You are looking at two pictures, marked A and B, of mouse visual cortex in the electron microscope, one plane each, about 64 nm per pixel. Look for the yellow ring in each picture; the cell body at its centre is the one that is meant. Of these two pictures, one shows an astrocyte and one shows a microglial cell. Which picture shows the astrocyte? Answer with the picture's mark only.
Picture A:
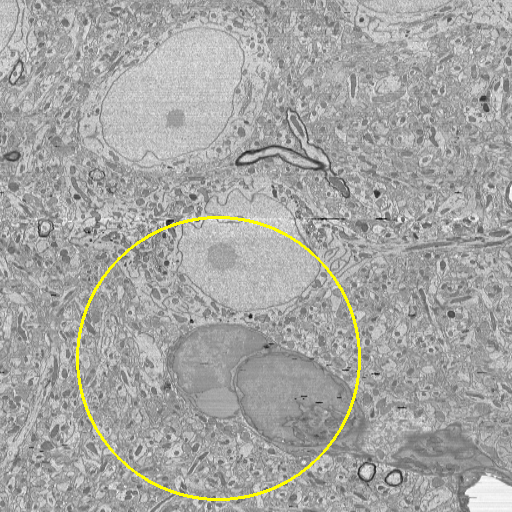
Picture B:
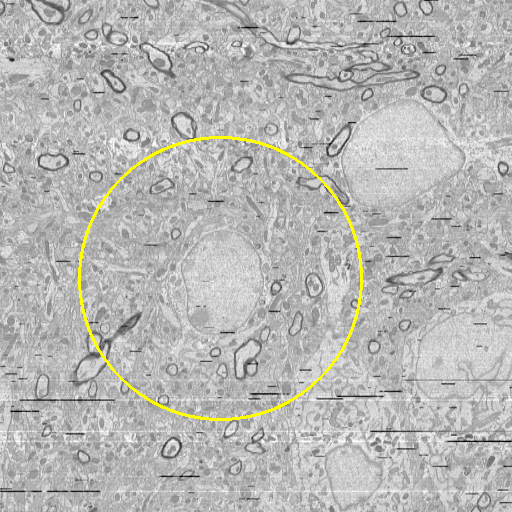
B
